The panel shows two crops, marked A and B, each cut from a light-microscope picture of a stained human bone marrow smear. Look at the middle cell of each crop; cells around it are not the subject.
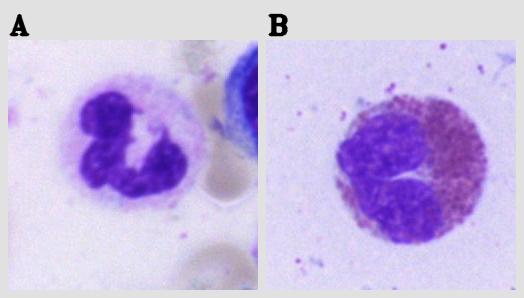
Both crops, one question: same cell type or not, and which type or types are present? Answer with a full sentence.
No, the cell in crop A is a neutrophil, and the cell in crop B is an eosinophil.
